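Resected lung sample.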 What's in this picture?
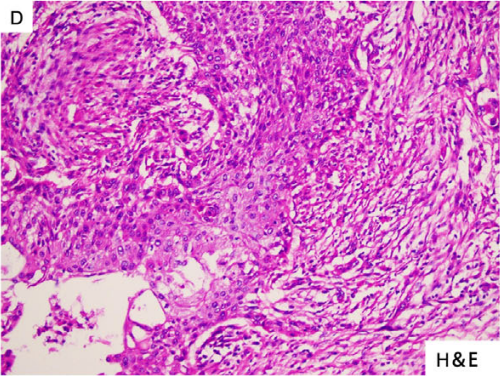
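Densely packed atypical tumour cells fill the field, set among spindle-shaped stromal cells. The tumour cell nuclei are enlarged and vesicular, many with conspicuous nucleoli, and the cytoplasm ranges from scant to moderately abundant and pink. In places the cells line or border open spaces, while elsewhere they form solid sheets with more eosinophilic cytoplasm.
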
